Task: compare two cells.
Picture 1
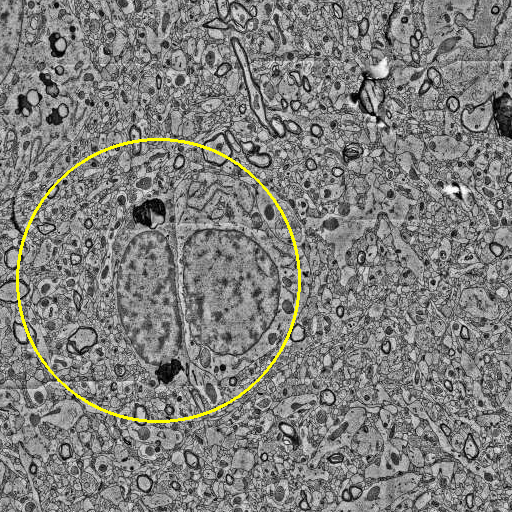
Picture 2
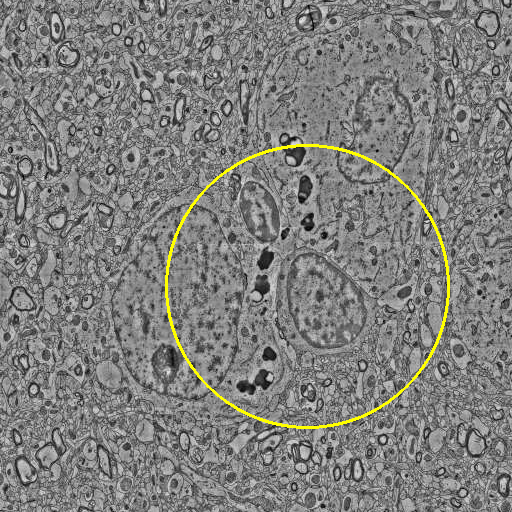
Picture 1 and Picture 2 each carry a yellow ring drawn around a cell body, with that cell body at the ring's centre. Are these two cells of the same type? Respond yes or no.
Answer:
yes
